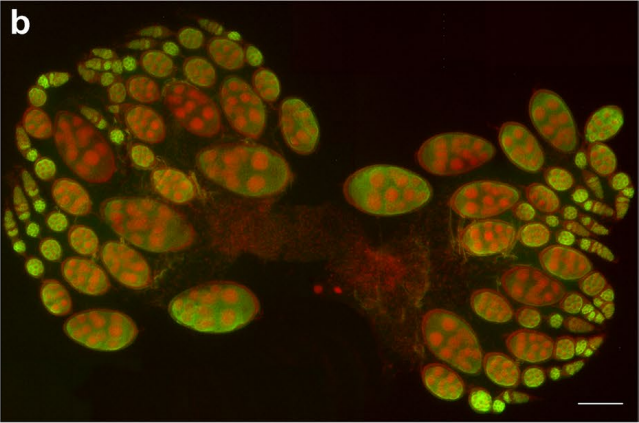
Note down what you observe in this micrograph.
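Two paired ovaries joined by a central stalk, each made of many strings of rounded egg chambers that grow larger along each string. Inside the chambers, large cells with green-filled cytoplasm each hold a big red-stained nucleus, several per chamber. The smallest chambers at the tips are almost entirely green, while the largest carry prominent large red nuclei.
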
